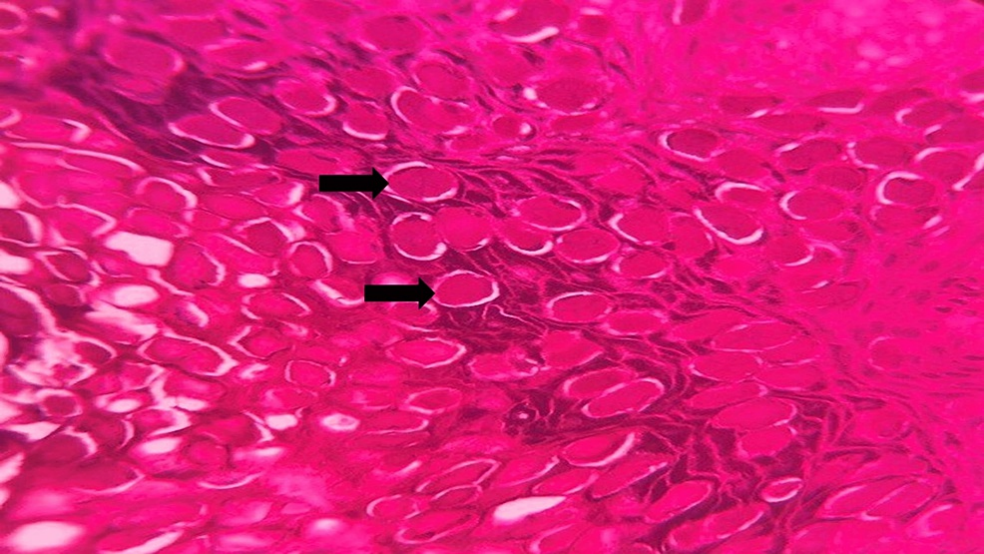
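Epithelial cells whose interiors are filled by large eosinophilic inclusion bodies. The bodies are oval, smooth and uniformly bright pink, and they lie densely packed in rows that sweep across the field. Many are rimmed on one side by a thin white crescent-shaped cleft that separates the body from the surrounding cell. Between the bodies run thin, darker purple-pink strands that appear to be compressed cell remnants. No ordinary nuclei or cytoplasm can be made out in the affected cells. Toward the right edge the tissue is more uniformly pink and less distinctly divided into separate bodies.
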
